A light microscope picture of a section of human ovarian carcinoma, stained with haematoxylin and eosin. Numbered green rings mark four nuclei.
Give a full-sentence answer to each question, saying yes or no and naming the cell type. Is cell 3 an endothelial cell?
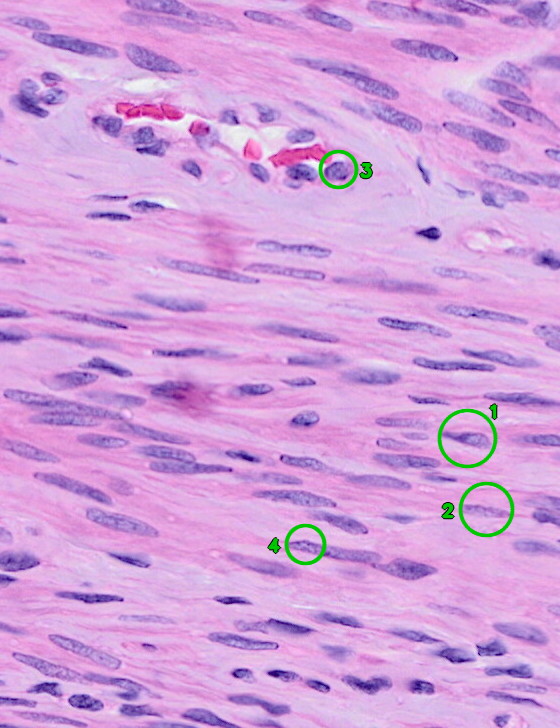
Yes, on this slide, the cell with number 3 is an endothelial cell.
